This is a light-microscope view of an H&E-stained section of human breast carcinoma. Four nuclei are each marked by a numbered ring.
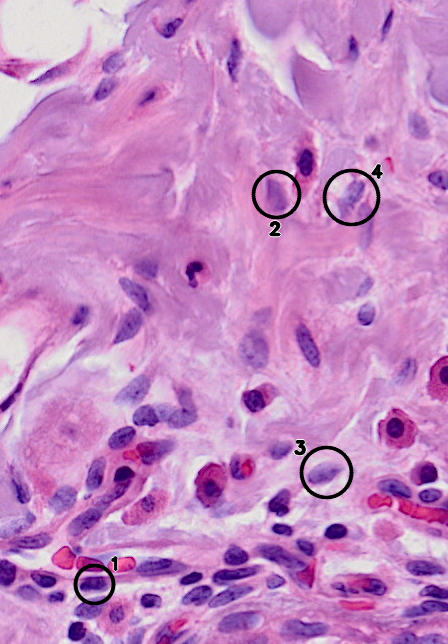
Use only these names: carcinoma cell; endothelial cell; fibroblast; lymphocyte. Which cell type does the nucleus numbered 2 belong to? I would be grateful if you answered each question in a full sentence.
The marked cell bearing number 2 is a fibroblast.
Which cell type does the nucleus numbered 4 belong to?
The cell identified by number 4 is a fibroblast.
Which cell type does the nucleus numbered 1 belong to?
The cell indicated by marker 1 is an endothelial cell in this section.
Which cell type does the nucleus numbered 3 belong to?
Cell 3 of the marked set is a fibroblast.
